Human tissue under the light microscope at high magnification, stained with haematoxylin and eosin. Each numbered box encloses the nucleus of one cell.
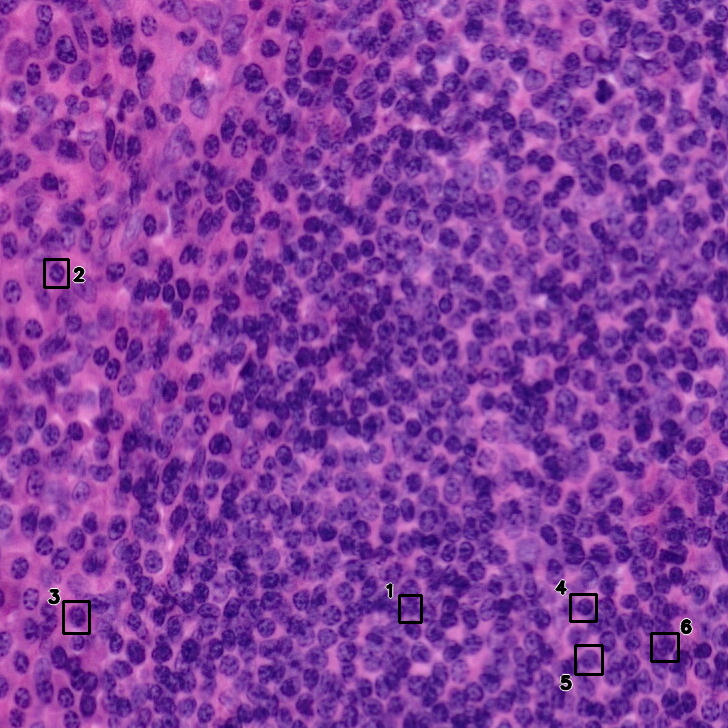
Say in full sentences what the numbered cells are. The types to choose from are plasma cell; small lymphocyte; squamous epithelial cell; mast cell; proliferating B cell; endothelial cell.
Cell 1 is a small lymphocyte, cell 2 is a plasma cell, cell 3 is a plasma cell, cell 4 is a small lymphocyte, cell 5 is a small lymphocyte and cell 6 is a small lymphocyte.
